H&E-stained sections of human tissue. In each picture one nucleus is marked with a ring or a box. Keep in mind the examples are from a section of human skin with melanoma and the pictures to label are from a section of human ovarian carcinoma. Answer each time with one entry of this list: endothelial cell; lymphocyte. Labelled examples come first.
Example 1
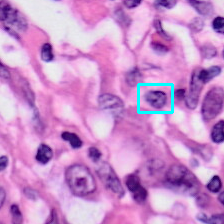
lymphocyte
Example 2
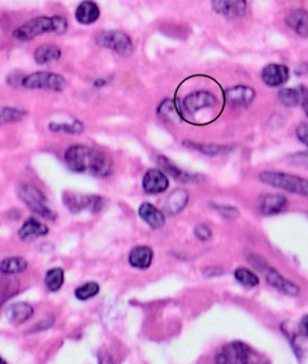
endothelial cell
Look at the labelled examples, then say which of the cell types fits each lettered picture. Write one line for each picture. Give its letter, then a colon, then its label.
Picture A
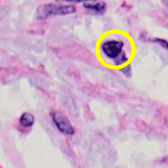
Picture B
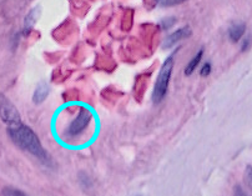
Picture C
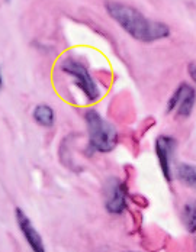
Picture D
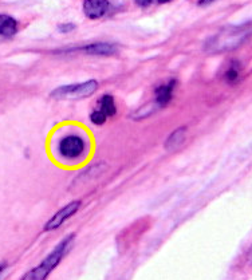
A: lymphocyte
B: endothelial cell
C: endothelial cell
D: lymphocyte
